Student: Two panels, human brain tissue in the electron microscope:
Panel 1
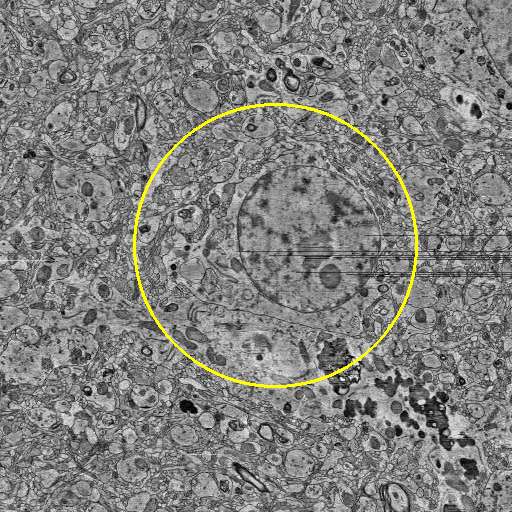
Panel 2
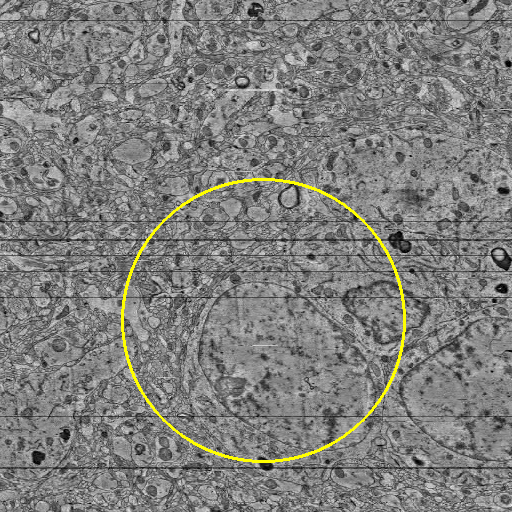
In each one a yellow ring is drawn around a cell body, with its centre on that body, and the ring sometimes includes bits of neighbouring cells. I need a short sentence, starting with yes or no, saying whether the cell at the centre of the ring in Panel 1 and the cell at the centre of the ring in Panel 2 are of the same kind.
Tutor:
No, they are two kinds of cell.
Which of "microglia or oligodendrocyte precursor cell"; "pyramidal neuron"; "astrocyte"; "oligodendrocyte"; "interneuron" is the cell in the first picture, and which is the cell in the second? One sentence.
The two differ: the first cell is an astrocyte and the second is a pyramidal neuron.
